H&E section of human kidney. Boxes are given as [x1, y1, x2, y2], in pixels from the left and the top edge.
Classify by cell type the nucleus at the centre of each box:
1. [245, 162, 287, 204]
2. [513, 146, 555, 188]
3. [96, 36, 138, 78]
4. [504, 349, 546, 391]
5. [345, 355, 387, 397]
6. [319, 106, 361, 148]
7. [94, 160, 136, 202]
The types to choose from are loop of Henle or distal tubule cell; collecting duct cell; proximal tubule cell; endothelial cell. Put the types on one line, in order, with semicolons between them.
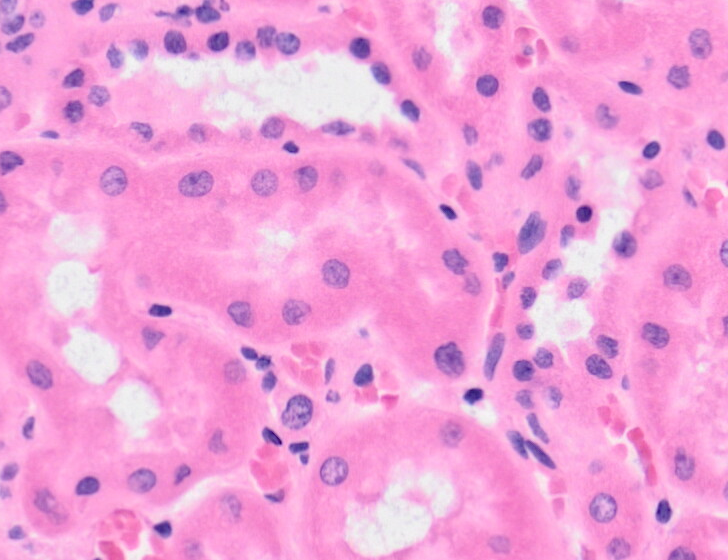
proximal tubule cell; loop of Henle or distal tubule cell; loop of Henle or distal tubule cell; loop of Henle or distal tubule cell; endothelial cell; loop of Henle or distal tubule cell; proximal tubule cell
